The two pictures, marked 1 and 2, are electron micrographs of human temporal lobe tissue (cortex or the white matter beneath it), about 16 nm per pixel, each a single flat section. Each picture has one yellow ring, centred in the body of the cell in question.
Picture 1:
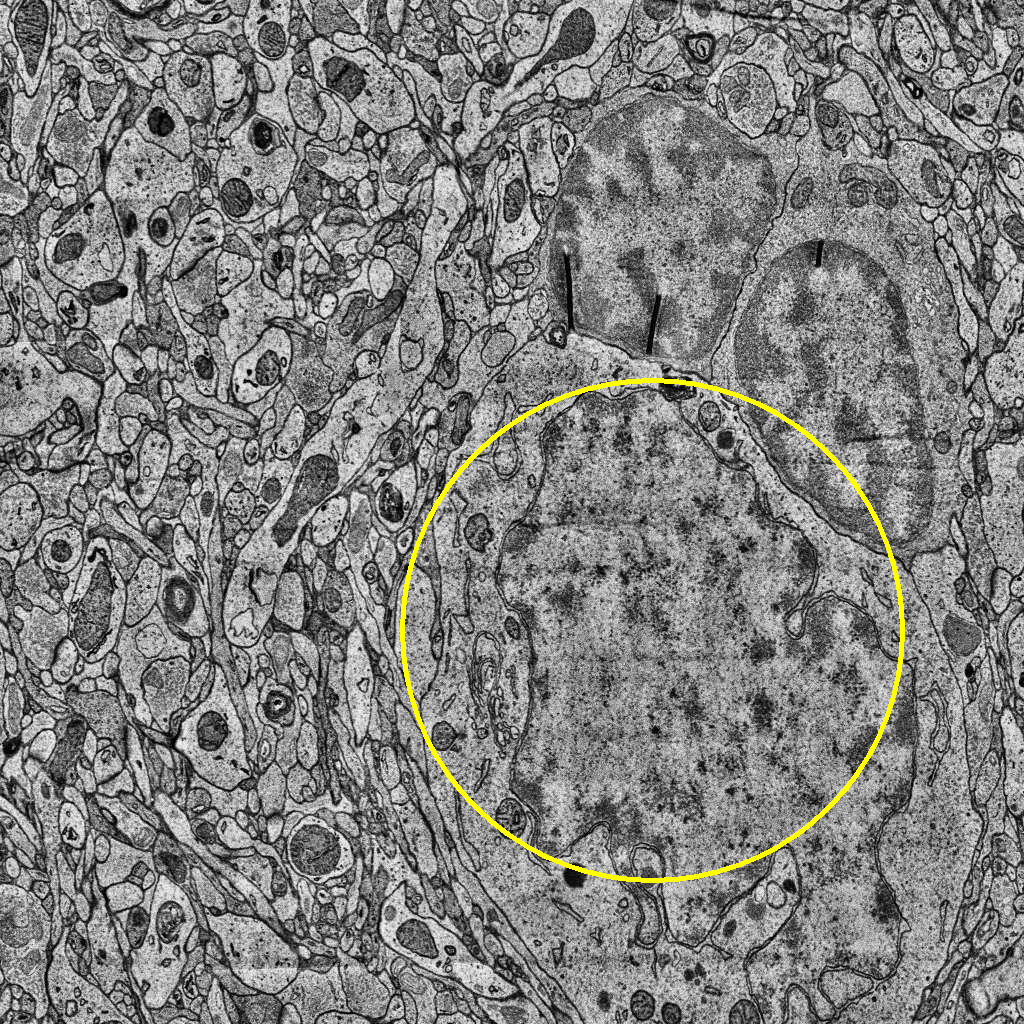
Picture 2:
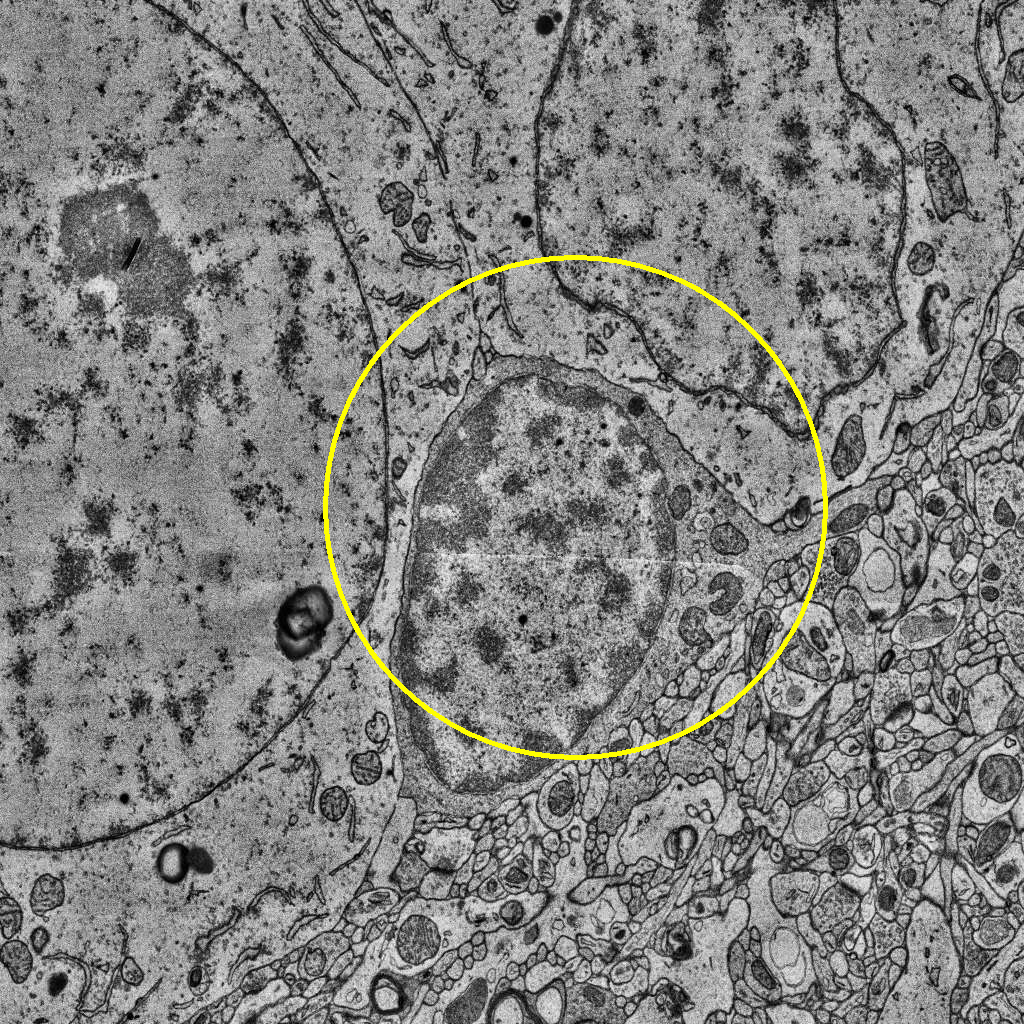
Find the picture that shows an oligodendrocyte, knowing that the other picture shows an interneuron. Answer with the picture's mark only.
2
